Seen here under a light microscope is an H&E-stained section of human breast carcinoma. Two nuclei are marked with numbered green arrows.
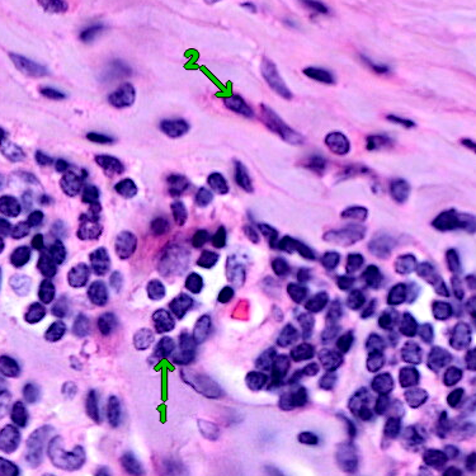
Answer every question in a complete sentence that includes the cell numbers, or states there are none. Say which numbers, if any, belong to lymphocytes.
Cell 1 is the one numbered cell that is a lymphocyte.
